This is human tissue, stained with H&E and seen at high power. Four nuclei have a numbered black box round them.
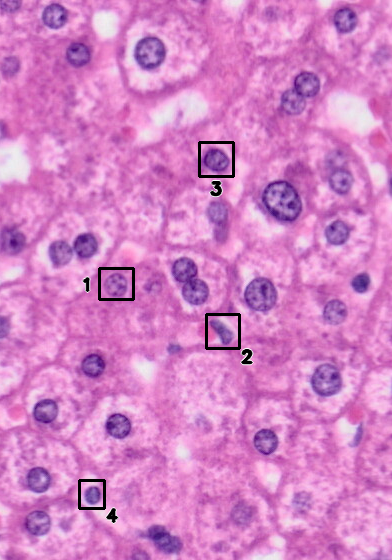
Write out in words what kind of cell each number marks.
Cells 1 and 3 are hepatocytes. Cell 2 is an endothelial cell. Cell 4 is a lymphocyte.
